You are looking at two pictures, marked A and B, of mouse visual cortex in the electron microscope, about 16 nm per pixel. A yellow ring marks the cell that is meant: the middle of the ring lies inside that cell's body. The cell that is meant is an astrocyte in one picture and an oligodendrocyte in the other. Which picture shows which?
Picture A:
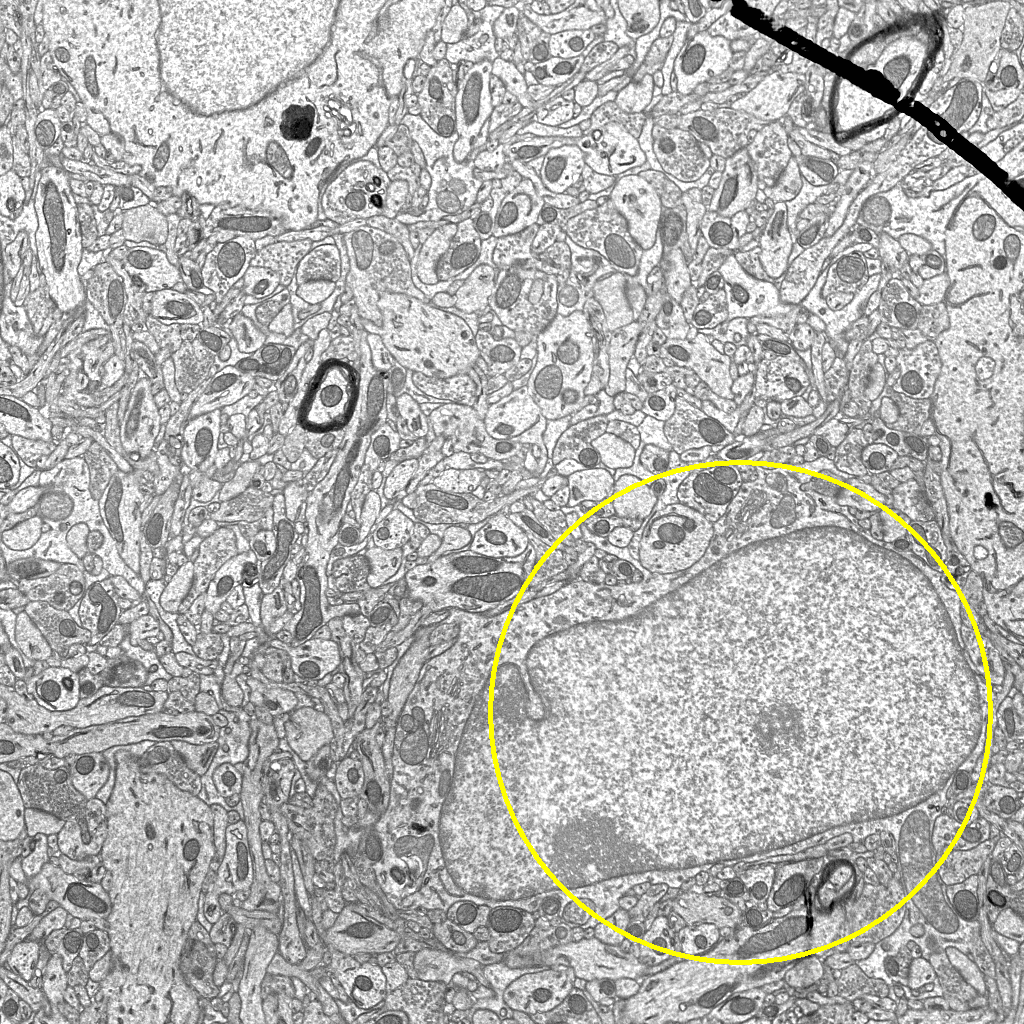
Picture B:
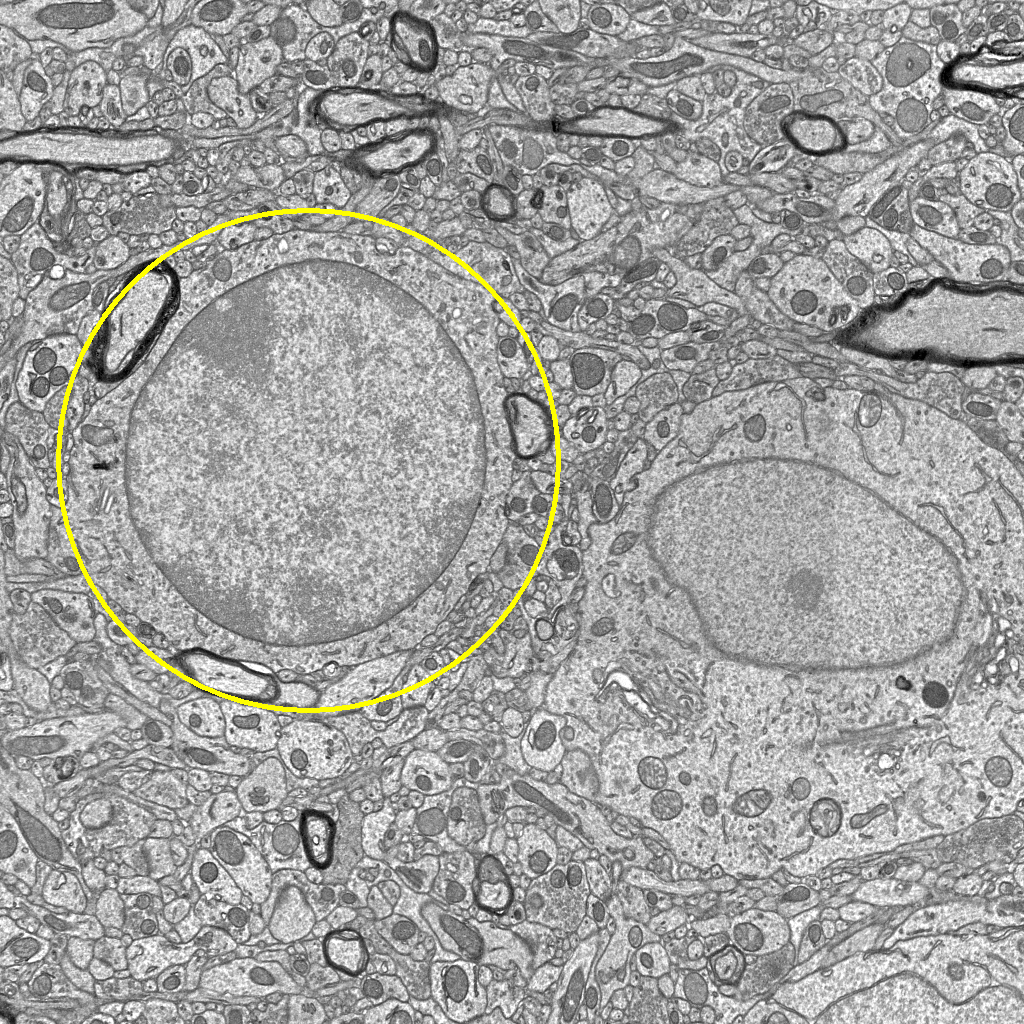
Picture A is of an astrocyte, and picture B is of an oligodendrocyte.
